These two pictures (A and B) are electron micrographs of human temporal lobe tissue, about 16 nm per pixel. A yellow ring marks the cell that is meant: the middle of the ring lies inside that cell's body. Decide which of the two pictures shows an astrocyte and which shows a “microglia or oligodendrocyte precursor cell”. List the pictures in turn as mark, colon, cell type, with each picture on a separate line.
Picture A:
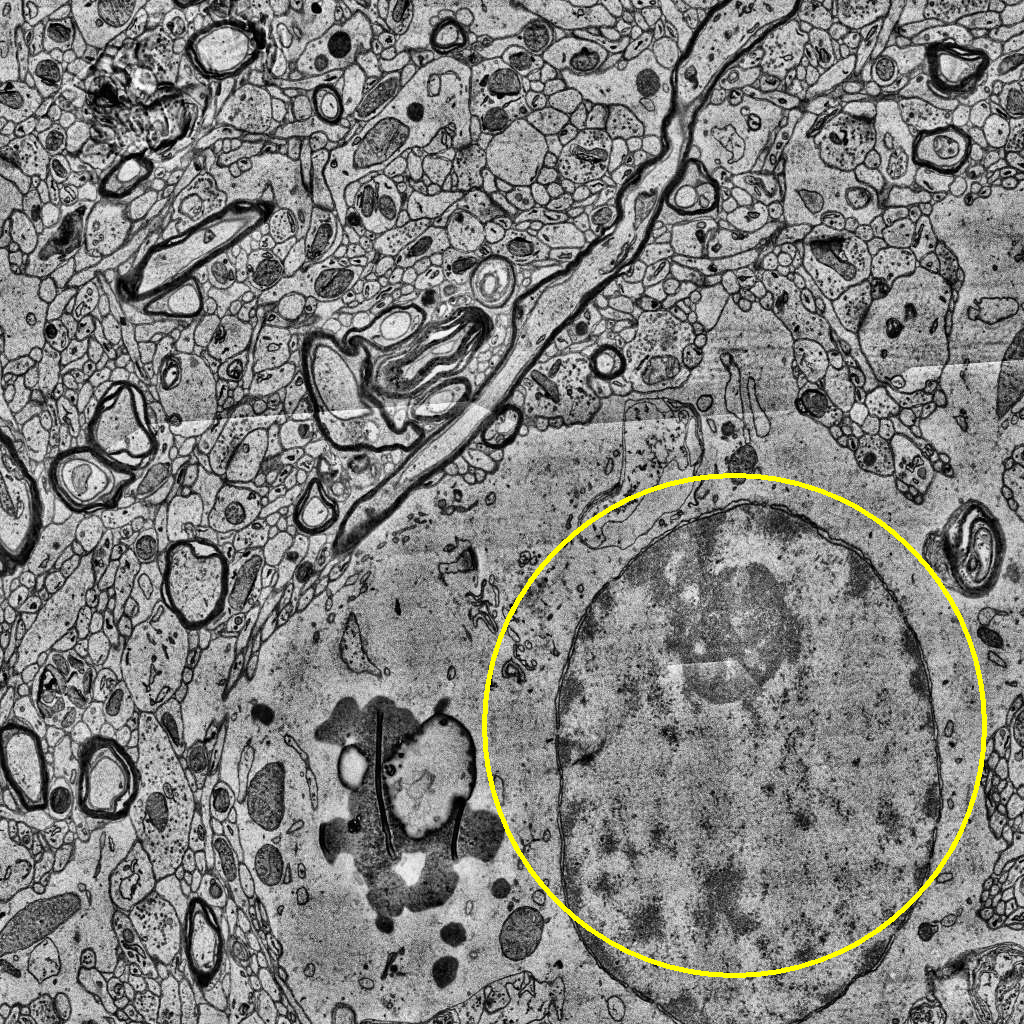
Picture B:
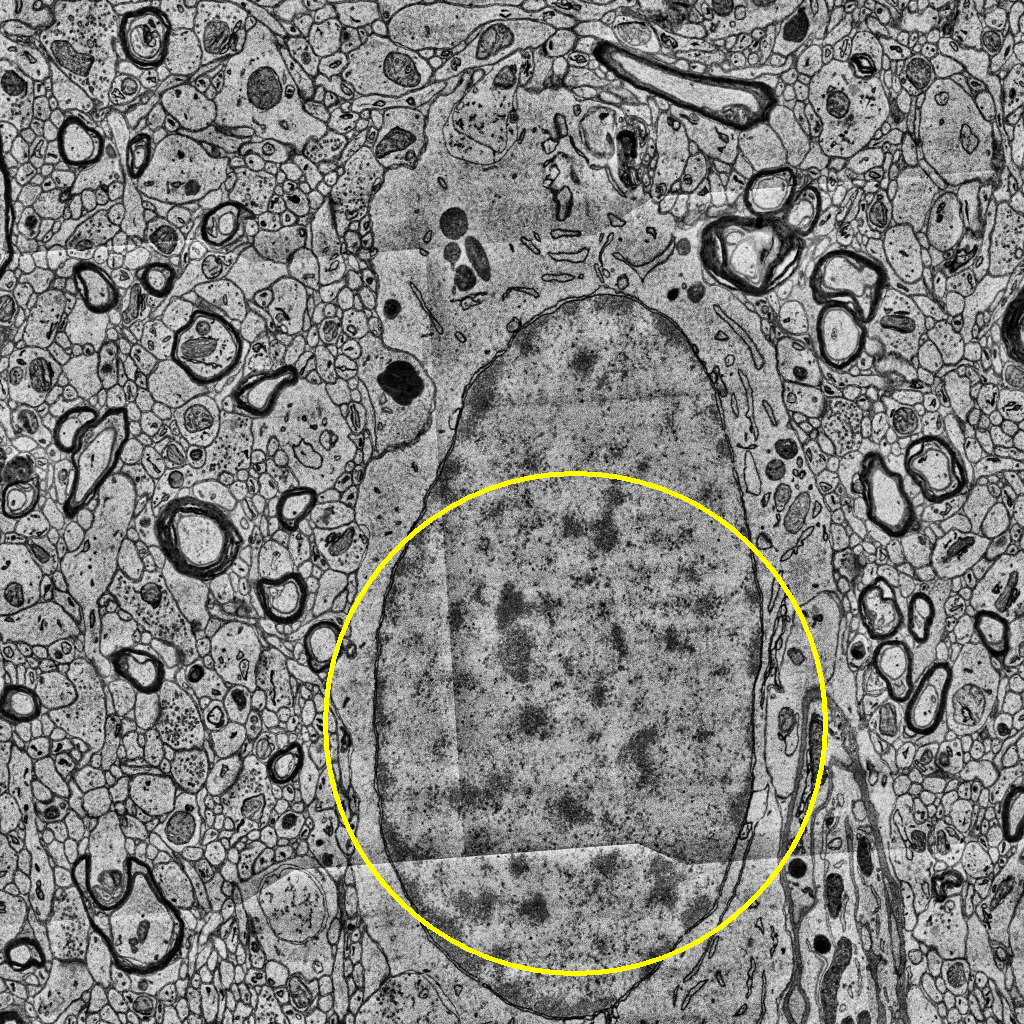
A: astrocyte
B: microglia or oligodendrocyte precursor cell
